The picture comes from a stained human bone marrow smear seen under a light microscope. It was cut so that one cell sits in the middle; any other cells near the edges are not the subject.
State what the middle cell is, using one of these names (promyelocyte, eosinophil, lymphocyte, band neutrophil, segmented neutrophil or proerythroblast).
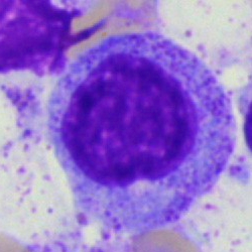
promyelocyte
